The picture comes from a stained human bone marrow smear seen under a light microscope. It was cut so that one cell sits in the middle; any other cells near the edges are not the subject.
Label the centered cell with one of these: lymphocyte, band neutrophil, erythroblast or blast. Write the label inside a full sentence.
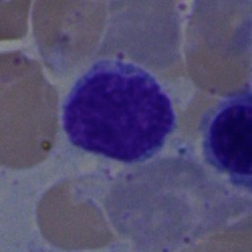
The middle cell in this particular crop is a lymphocyte.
